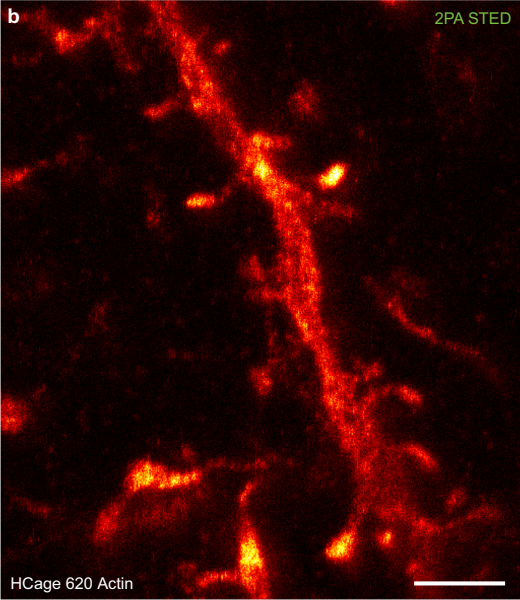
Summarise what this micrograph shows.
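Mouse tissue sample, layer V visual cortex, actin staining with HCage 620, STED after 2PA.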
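A main dendritic branch runs from the top of the field down to the lower right, with a grainy, speckled texture. Small bright knob-like protrusions sit along its sides, some on short stalks. Further fainter branch fragments and bright blobs lie scattered in the surrounding field, especially near the bottom. The background between structures is largely dark.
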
